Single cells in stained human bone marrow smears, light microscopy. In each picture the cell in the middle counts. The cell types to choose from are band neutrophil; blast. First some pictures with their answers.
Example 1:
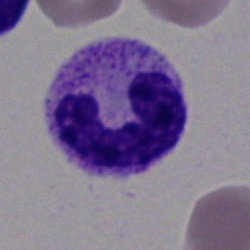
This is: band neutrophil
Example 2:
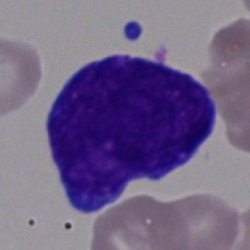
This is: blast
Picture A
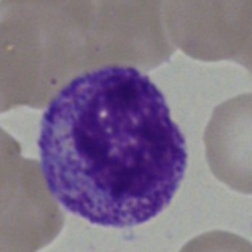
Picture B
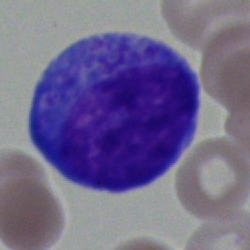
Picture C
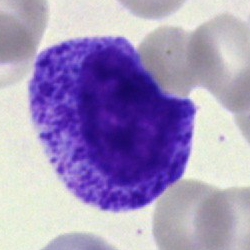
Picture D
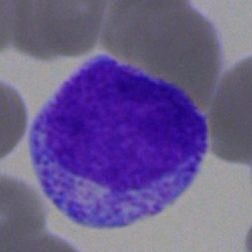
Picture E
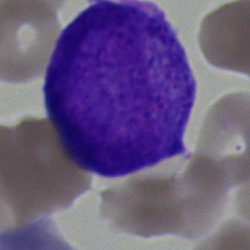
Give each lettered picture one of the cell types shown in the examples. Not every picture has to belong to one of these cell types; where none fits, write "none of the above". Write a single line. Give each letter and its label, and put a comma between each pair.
A none of the above, B none of the above, C none of the above, D none of the above, E blast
